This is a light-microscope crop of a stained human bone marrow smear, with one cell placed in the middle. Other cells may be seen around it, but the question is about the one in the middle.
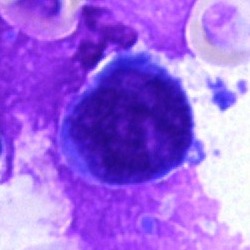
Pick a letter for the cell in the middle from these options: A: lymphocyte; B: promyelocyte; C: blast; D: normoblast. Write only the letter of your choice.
C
